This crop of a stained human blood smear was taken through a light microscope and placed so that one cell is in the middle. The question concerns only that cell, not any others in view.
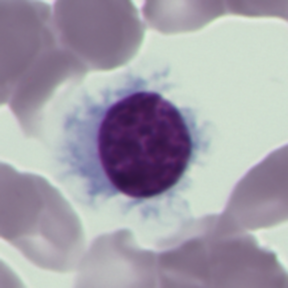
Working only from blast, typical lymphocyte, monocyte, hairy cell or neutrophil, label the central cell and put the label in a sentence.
The cell found in the middle of this crop is a hairy cell.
